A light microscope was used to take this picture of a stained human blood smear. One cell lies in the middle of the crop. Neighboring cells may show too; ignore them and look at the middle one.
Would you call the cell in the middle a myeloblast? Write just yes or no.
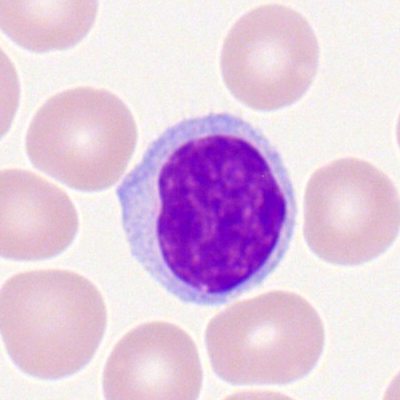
no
